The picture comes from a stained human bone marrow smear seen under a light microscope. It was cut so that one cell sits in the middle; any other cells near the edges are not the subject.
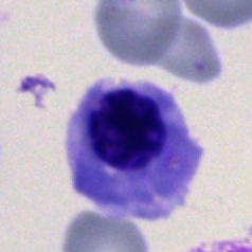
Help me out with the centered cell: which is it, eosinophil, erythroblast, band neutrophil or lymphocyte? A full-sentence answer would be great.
The cell of interest, located centrally, is an erythroblast.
